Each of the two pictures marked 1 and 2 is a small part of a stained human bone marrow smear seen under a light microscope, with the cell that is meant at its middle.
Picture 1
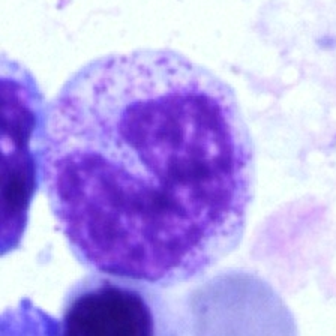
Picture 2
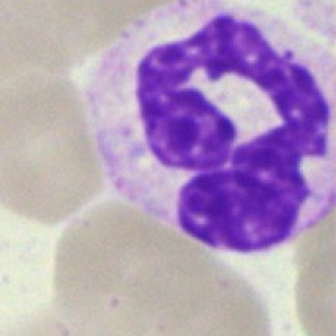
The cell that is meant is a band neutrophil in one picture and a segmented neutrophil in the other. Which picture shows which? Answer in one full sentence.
Picture 2 shows a segmented neutrophil, while picture 1 shows a band neutrophil.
